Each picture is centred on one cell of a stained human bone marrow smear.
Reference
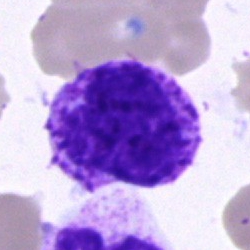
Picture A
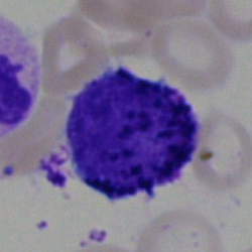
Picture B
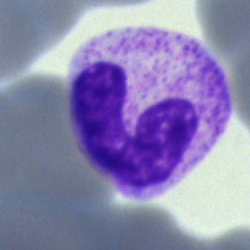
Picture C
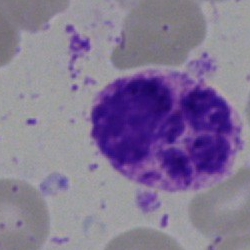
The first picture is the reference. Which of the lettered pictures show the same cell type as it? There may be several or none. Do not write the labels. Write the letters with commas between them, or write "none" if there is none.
A, C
